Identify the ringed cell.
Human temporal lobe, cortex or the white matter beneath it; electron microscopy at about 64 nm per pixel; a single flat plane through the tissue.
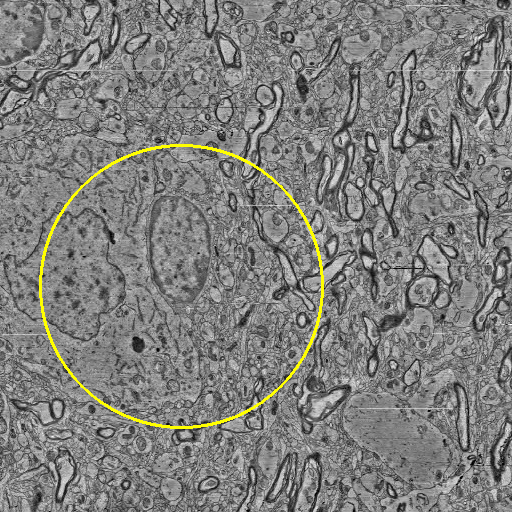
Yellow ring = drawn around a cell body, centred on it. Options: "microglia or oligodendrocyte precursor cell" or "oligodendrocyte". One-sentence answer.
What the ring is centred on is an oligodendrocyte.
